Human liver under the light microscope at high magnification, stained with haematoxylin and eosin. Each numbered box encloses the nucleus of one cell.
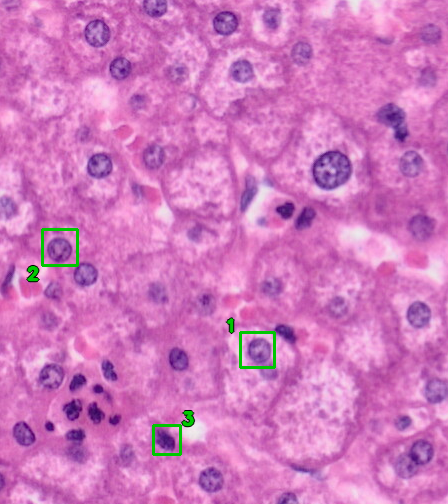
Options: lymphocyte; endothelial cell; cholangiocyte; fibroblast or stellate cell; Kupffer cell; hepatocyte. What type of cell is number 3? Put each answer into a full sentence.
The correct answer for cell 3 is a fibroblast or stellate cell.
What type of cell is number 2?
The cell numbered 2 has been identified as a hepatocyte.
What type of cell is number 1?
The cell that carries the label 1 is a hepatocyte.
